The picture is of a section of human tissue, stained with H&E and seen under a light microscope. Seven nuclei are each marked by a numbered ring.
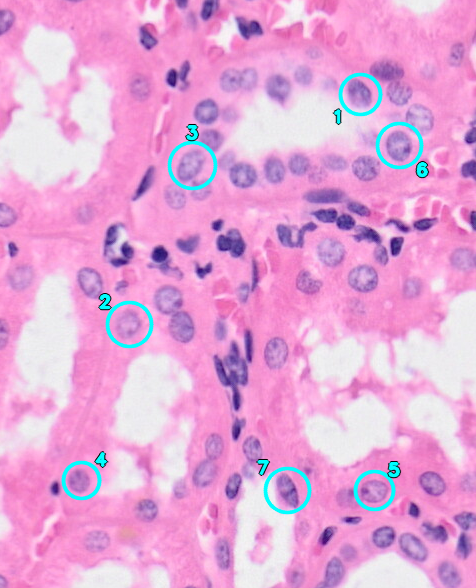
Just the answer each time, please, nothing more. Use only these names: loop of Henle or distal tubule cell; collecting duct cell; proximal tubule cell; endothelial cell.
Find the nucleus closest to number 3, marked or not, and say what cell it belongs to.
collecting duct cell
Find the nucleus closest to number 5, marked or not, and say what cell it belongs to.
proximal tubule cell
